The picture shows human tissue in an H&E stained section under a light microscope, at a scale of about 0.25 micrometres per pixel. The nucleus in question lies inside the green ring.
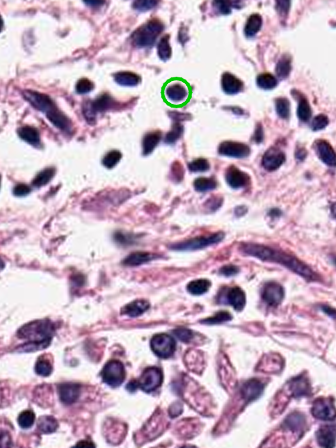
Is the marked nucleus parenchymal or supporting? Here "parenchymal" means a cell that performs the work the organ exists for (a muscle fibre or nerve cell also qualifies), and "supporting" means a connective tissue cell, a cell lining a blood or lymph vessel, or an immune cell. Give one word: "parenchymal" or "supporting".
supporting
